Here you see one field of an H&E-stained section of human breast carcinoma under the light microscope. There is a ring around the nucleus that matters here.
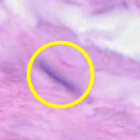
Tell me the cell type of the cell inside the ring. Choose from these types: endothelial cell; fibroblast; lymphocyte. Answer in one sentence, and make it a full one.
In short, the cell inside the ring on this section is a fibroblast.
